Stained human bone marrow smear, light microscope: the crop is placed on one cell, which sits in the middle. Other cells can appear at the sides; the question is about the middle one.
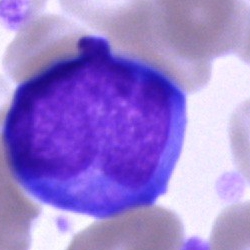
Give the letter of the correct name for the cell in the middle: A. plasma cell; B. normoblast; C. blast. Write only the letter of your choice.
C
